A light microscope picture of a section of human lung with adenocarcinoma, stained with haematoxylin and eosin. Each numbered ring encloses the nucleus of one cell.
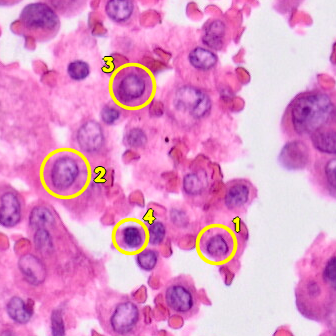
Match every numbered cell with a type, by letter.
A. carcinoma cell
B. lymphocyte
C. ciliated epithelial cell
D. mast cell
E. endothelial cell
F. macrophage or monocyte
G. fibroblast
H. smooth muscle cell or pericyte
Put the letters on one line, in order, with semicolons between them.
F; F; F; B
